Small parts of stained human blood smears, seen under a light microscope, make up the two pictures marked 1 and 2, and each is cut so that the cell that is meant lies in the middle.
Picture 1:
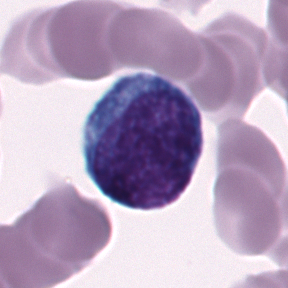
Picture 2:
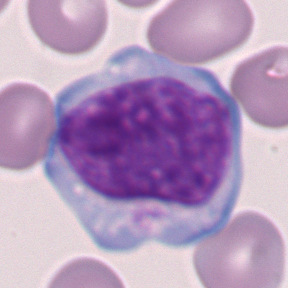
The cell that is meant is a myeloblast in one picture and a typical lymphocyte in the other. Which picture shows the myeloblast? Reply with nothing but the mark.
2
